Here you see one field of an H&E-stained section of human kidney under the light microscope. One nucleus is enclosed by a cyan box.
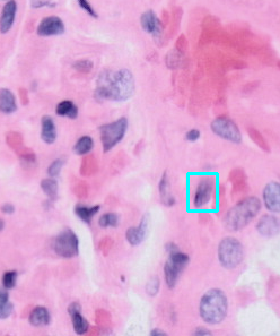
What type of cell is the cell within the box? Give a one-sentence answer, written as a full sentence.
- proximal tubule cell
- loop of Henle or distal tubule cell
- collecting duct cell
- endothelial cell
For cell typing purposes, the cell within the box is an endothelial cell.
